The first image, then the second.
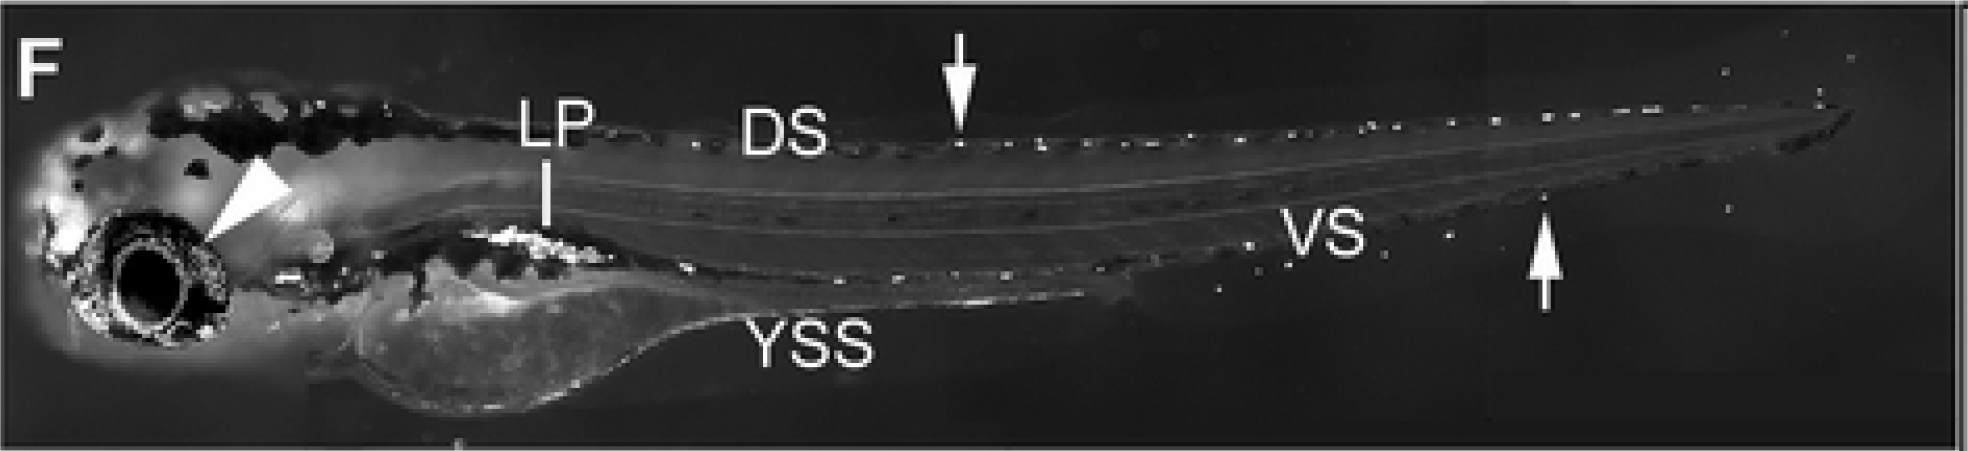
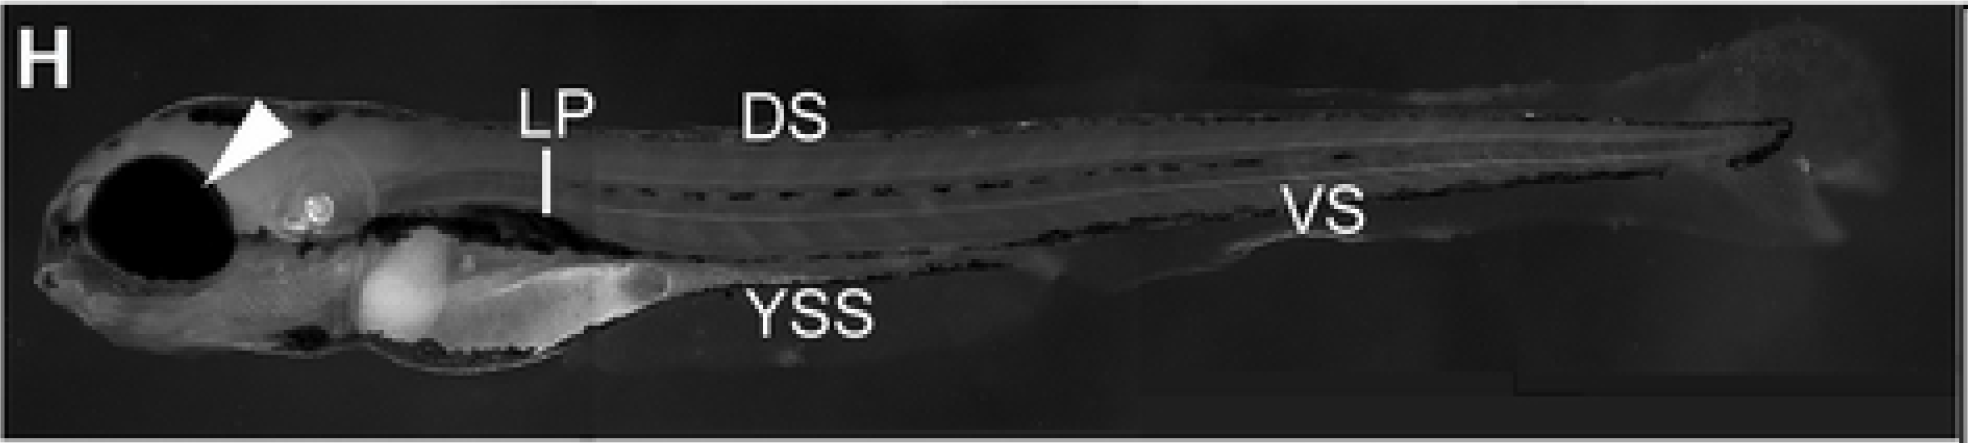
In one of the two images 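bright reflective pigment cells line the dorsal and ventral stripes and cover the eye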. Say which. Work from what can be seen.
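Second image: the eye is dark and the trunk stripes show no bright reflective spots. First image: the eye shines and bright reflective spots run along the dorsal and ventral stripes.
Hence: the first image.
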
